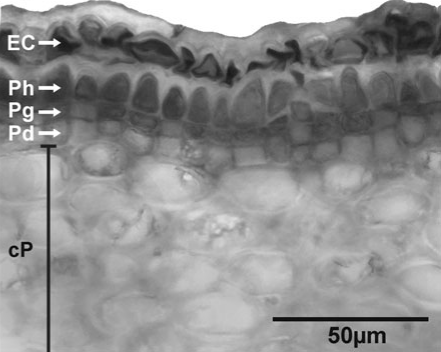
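The outer layers of a shoot in cross section show a wavy cuticle and dark epidermal cells at the surface, with a narrow band of cork cells beneath them. A row of small flattened cells that produce the cork sits under that band, then a further thin row, and then large, pale, rounded cortical parenchyma cells fill the lower part.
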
